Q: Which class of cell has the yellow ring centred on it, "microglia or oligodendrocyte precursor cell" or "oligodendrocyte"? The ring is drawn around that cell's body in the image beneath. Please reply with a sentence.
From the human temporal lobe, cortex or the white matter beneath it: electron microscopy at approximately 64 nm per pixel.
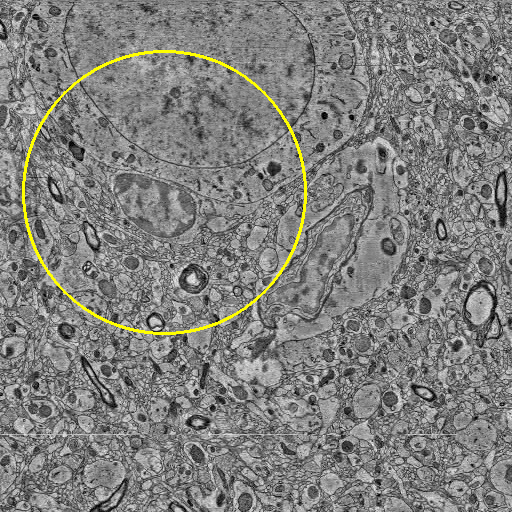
It is centred on a microglial cell or oligodendrocyte precursor cell.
